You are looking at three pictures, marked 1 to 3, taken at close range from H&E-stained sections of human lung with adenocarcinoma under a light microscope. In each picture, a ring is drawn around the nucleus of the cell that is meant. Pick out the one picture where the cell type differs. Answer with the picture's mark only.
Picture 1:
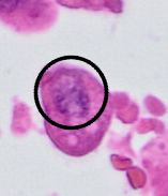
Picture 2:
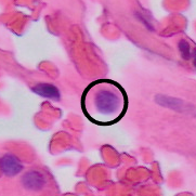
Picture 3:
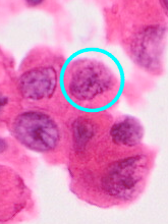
2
